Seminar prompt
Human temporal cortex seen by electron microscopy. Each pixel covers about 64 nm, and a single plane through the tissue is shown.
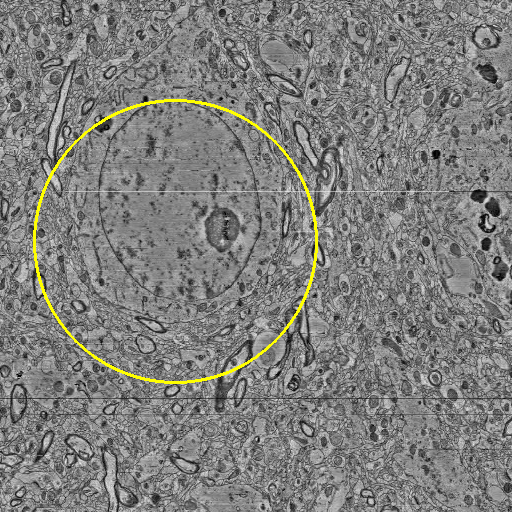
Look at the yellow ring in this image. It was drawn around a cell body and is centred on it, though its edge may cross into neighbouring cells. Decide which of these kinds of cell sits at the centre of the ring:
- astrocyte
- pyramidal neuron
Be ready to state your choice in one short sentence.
The kind of cell at the ring's centre is a pyramidal neuron.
